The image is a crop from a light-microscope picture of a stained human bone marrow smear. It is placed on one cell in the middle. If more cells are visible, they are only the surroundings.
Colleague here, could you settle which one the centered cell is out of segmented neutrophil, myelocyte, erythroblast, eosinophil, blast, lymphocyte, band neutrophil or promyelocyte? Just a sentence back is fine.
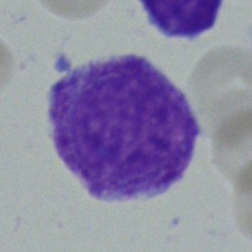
The cell at the centre of the field is a blast.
